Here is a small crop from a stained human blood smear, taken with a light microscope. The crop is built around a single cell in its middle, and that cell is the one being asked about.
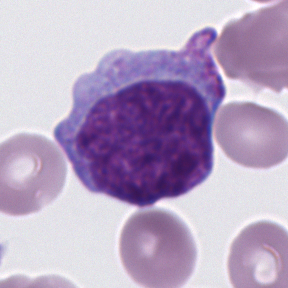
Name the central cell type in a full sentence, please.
Where the crop is centred, there is an atypical promyelocyte.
